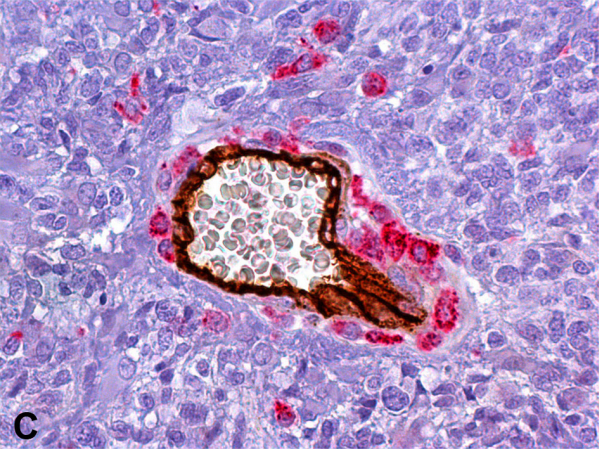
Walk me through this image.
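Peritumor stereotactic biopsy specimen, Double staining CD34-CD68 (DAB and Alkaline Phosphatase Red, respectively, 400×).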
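A middle-sized vessel lined by a continuous brown-stained wall and filled with red blood cells lies within densely cellular tumor parenchyma. Rounded red-stained macrophages gather in clusters hugging the outside of the vessel wall, while single red macrophages lie scattered among the crowded, oval, blue-violet nuclei of the surrounding tissue.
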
